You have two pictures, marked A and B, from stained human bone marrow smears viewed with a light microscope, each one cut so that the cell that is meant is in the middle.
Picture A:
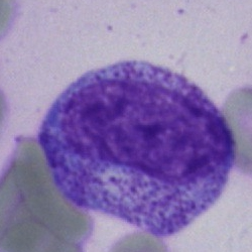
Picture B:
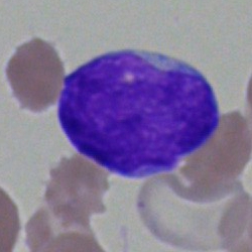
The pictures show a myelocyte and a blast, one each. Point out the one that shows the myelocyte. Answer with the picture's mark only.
A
